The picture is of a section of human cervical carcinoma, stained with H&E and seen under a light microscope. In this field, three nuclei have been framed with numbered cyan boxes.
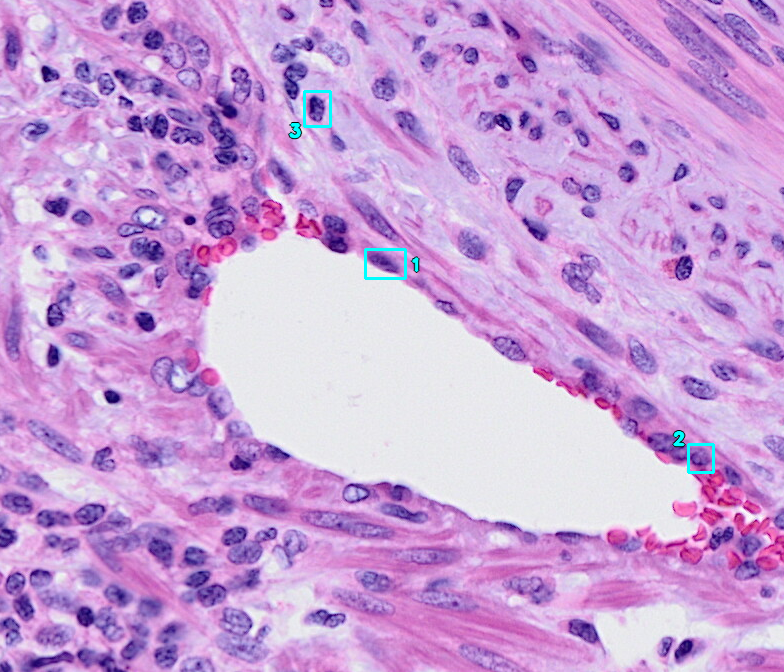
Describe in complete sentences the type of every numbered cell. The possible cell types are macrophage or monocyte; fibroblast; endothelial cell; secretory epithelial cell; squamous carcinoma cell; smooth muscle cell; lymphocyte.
Cells 1 and 2 are endothelial cells. Cell 3 is a lymphocyte.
